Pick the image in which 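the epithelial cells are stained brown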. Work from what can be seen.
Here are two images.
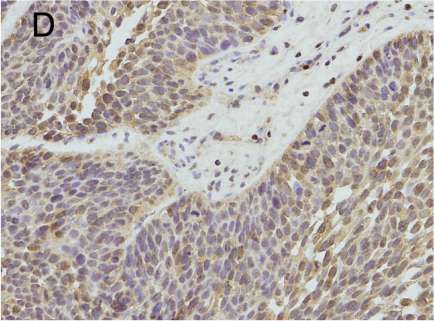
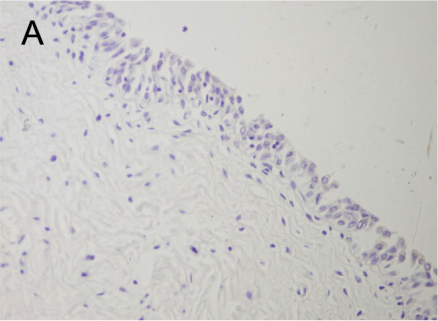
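The first image. First image: the crowded epithelial cells show clear brown staining of cytoplasm and many nuclei. Second image: the epithelial cells show only blue nuclei with no brown color.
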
